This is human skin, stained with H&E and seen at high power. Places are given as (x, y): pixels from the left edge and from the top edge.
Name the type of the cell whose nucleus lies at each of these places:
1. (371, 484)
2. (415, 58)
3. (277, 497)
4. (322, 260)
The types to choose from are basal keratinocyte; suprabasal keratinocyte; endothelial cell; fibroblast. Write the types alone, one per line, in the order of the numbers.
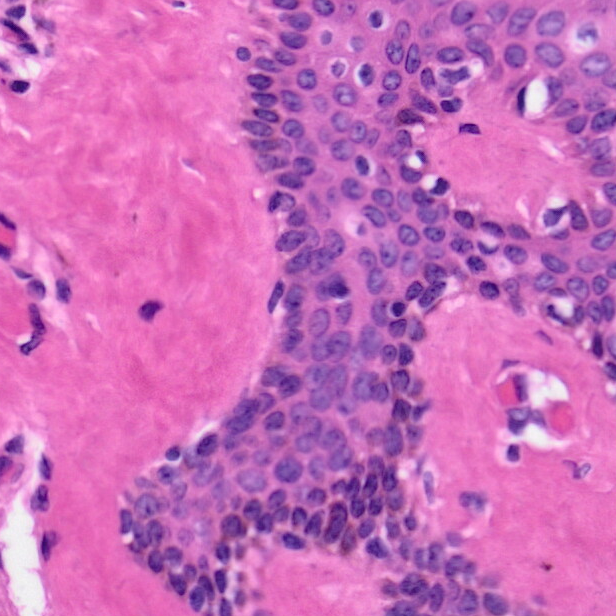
basal keratinocyte
suprabasal keratinocyte
basal keratinocyte
basal keratinocyte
